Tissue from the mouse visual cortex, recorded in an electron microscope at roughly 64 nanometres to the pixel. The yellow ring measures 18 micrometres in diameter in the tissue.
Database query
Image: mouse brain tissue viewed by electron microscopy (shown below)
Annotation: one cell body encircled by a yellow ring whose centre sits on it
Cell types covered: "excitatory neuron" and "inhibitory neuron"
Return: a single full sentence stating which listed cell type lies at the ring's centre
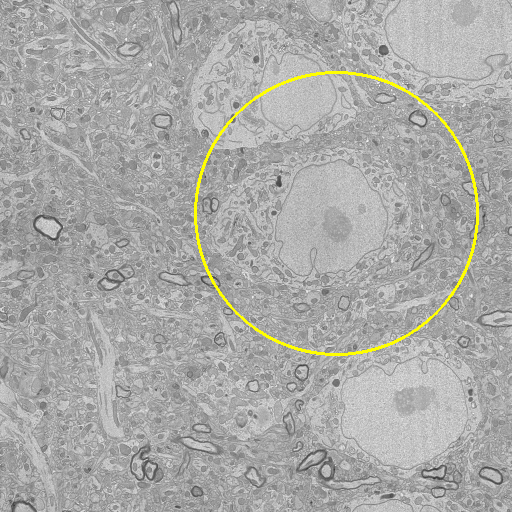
In the image, the cell lying at the ring's centre is an inhibitory neuron.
